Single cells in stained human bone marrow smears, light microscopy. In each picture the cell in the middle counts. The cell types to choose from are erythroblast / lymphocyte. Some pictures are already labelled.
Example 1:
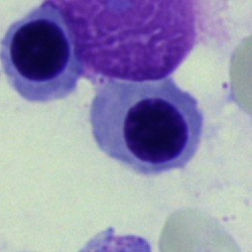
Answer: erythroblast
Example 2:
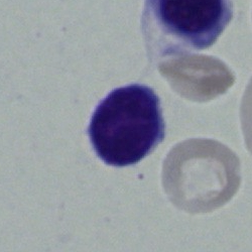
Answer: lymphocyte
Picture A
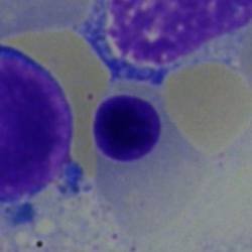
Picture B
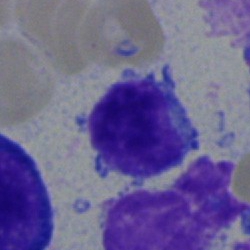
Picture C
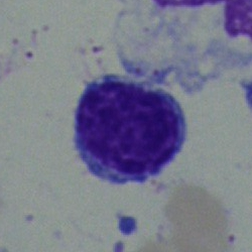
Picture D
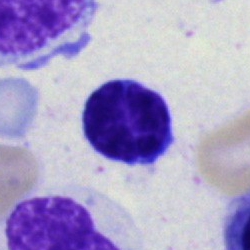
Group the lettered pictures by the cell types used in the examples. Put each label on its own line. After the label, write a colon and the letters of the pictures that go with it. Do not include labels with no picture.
erythroblast: A
lymphocyte: B, C, D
